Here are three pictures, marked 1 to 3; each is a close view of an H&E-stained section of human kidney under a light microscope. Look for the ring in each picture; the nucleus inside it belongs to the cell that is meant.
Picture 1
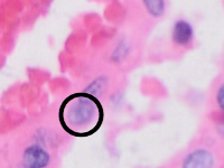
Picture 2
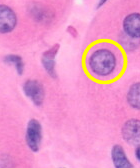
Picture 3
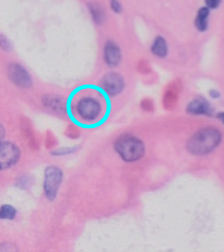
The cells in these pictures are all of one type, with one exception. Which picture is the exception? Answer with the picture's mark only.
2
